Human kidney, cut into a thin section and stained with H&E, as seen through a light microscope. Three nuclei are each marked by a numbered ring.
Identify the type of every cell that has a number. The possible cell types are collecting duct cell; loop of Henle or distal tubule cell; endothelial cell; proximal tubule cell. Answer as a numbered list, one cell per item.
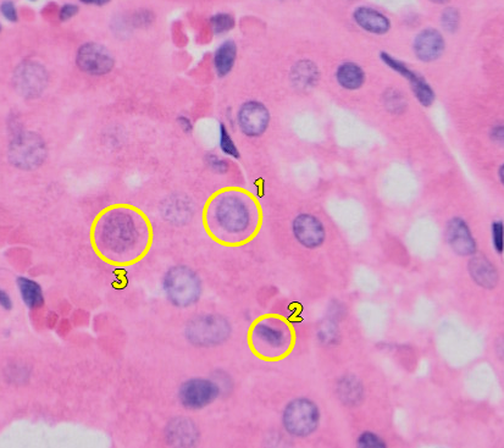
1. proximal tubule cell
2. endothelial cell
3. proximal tubule cell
